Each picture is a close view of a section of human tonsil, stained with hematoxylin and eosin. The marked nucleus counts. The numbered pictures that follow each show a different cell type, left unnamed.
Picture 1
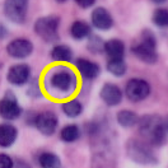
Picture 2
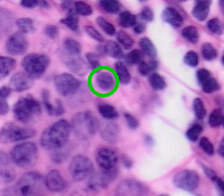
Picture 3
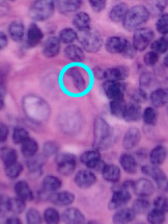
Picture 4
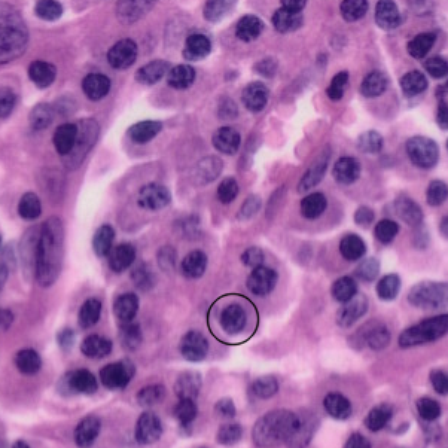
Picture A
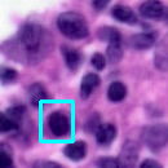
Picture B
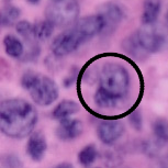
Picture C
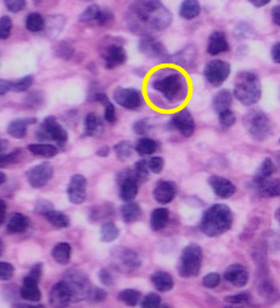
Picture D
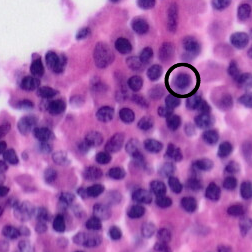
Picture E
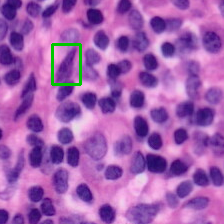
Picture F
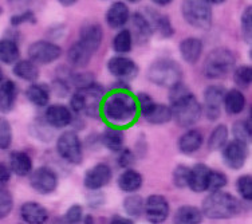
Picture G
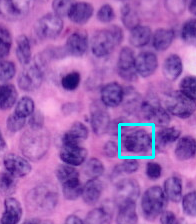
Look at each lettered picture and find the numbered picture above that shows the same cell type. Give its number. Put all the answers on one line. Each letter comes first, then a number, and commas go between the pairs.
A 4, B 2, C 2, D 4, E 3, F 1, G 2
